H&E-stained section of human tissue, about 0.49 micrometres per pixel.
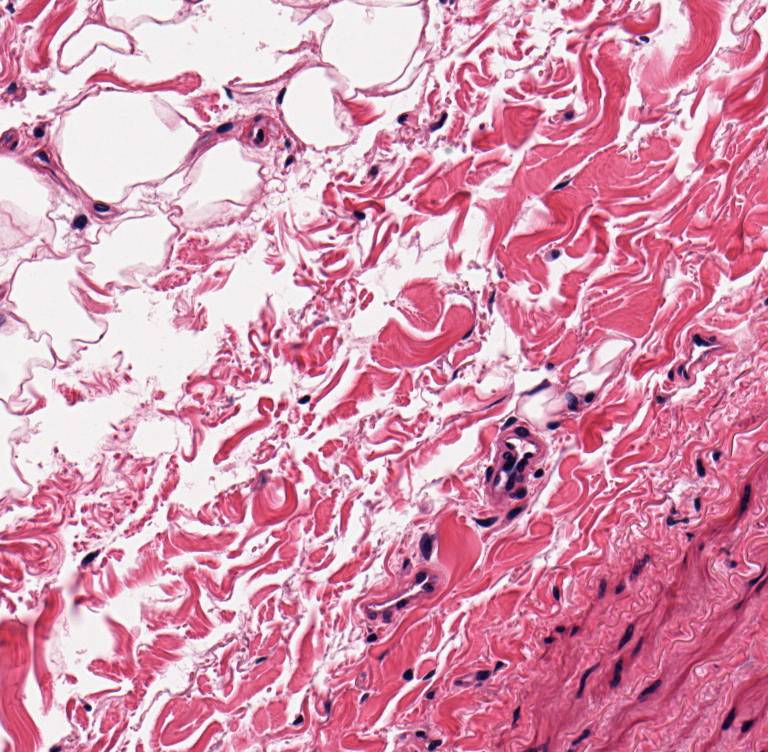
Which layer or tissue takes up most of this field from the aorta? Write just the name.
tunica adventitia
